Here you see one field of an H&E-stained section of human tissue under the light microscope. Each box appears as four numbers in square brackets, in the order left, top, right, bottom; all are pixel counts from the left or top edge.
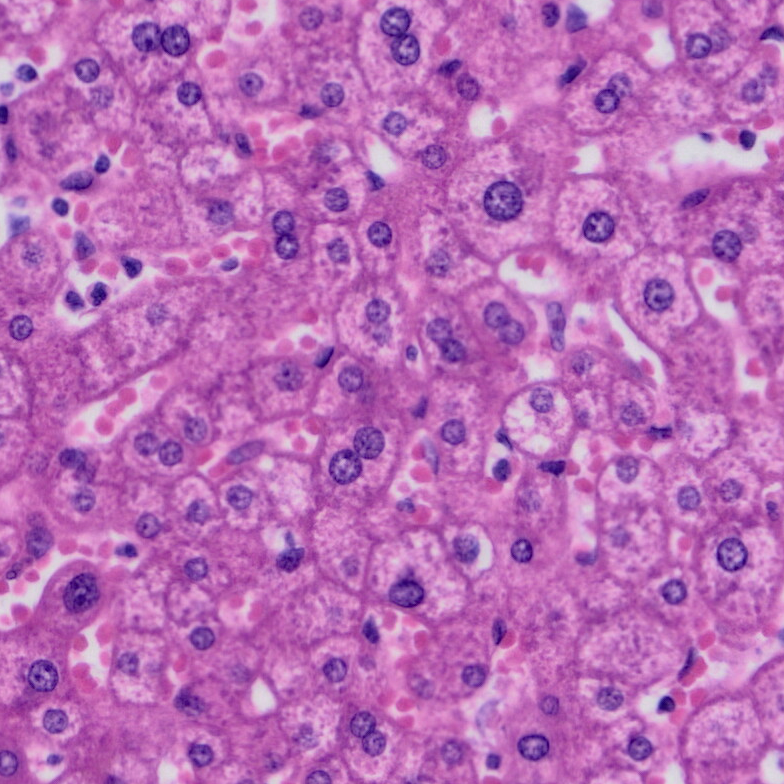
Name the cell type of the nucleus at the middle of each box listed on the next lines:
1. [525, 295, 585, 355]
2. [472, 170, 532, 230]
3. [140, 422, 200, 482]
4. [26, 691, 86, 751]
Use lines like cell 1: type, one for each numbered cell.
cell 1: Kupffer cell
cell 2: hepatocyte
cell 3: hepatocyte
cell 4: hepatocyte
